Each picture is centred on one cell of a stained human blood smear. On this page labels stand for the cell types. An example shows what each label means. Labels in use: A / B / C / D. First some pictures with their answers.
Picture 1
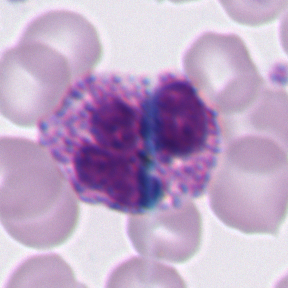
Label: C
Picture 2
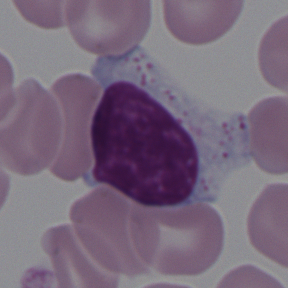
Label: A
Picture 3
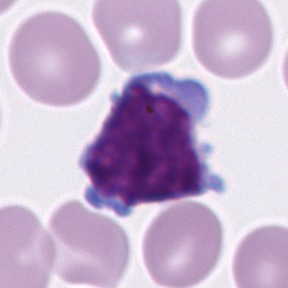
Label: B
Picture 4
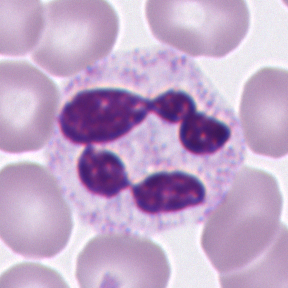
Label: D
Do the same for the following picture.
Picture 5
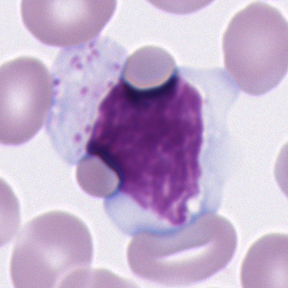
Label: A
